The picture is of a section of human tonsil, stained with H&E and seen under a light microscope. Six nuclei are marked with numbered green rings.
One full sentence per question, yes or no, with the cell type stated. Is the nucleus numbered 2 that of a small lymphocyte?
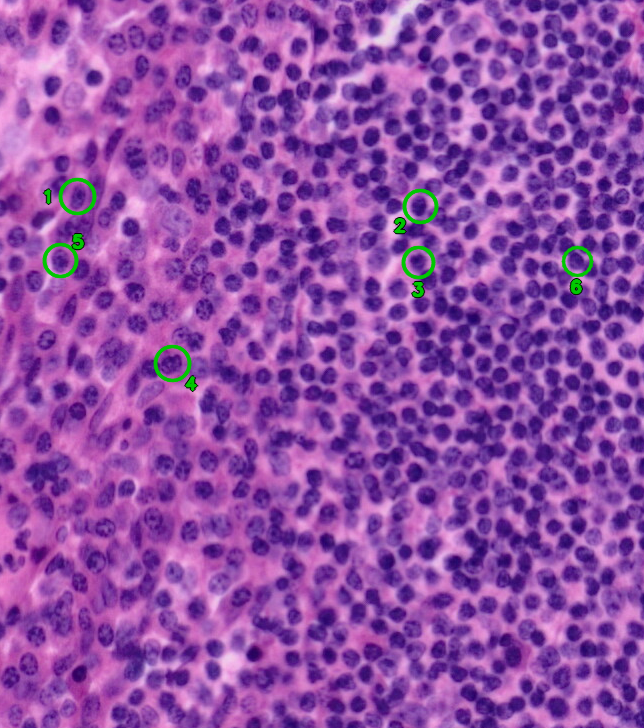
Yes, for number 2, the cell is a small lymphocyte.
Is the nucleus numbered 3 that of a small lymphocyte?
Yes, the cell bearing the number 3 is a small lymphocyte.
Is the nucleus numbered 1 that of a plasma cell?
Yes, the cell bearing the number 1 is a plasma cell.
